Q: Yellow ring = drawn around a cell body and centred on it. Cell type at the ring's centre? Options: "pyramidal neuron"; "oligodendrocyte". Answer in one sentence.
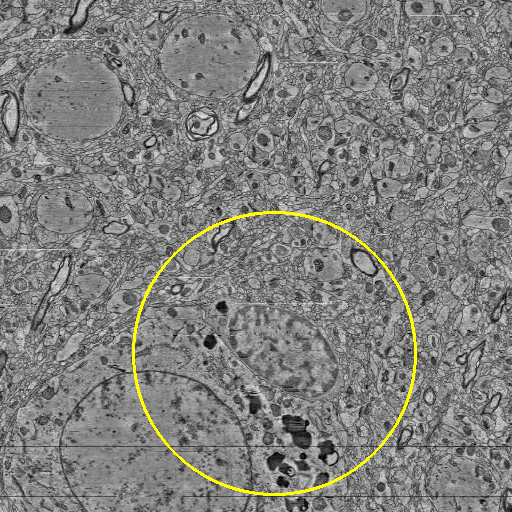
Centred in the ring is an oligodendrocyte.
